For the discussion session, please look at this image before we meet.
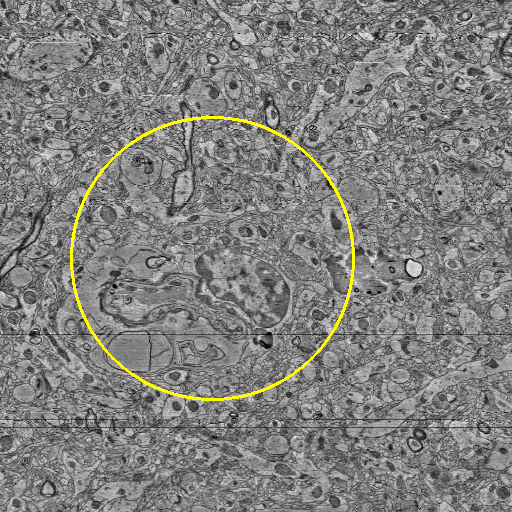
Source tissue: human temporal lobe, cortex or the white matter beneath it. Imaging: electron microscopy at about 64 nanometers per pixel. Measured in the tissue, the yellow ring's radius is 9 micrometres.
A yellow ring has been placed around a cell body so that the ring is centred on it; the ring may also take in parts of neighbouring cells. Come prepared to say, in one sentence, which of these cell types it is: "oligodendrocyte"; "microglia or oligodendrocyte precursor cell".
The cell centred in the ring is a microglial cell or oligodendrocyte precursor cell.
